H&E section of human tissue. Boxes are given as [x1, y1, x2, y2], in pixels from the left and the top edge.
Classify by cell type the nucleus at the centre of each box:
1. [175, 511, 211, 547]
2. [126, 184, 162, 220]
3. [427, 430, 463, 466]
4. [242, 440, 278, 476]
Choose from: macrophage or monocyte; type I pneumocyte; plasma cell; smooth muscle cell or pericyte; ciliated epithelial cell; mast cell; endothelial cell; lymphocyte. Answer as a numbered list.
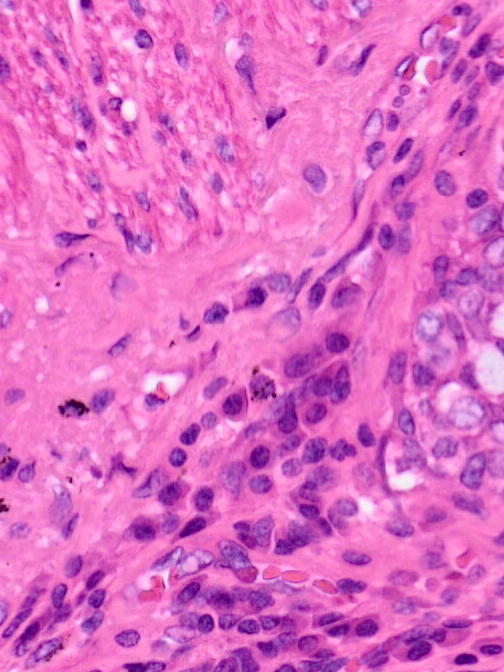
1. plasma cell
2. smooth muscle cell or pericyte
3. ciliated epithelial cell
4. plasma cell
